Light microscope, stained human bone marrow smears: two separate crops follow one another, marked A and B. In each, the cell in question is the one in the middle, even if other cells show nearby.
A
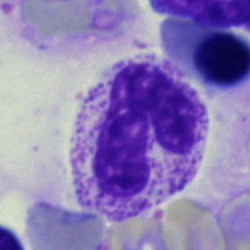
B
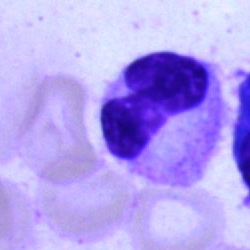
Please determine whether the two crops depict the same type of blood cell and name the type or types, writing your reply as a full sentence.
Yes, in both crops the centred cells are band neutrophils.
